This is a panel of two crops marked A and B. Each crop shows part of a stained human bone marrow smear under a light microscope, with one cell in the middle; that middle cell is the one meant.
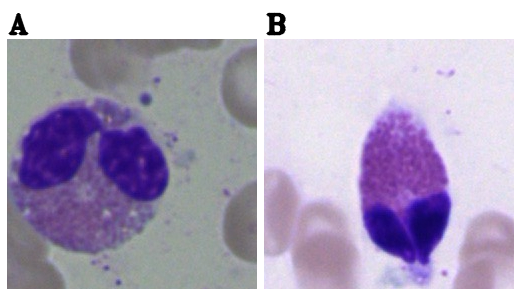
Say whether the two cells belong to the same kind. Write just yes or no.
yes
